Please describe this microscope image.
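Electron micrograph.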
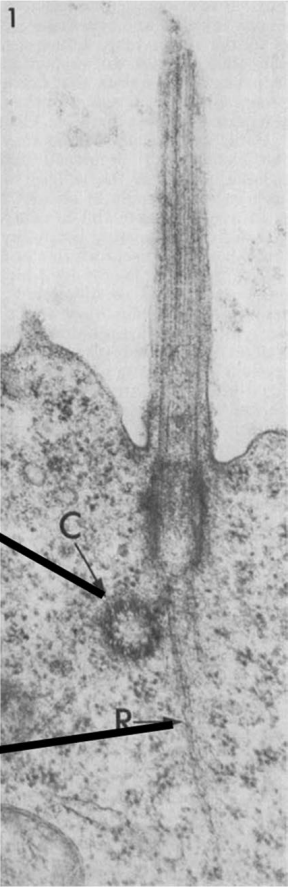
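This thin section shows a single cilium projecting from the cell surface. The membrane dips in around the base of the cilium. At the cilium's base lies a dense, barrel-shaped basal body anchored just beneath the surface. Just below and beside it a second centriole is cut in cross-section as a small ring, and a long, thin fibrous rootlet extends from the base of the basal body downward into the cytoplasm.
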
